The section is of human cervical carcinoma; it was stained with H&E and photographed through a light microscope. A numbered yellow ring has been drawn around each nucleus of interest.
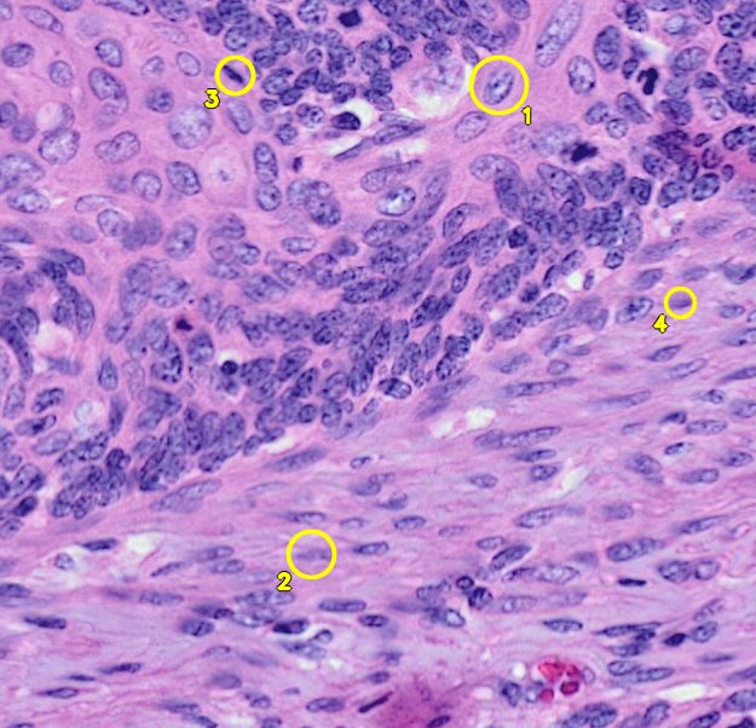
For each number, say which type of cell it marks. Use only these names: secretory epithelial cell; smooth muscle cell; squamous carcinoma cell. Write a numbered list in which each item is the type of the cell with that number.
1. squamous carcinoma cell
2. smooth muscle cell
3. squamous carcinoma cell
4. smooth muscle cell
